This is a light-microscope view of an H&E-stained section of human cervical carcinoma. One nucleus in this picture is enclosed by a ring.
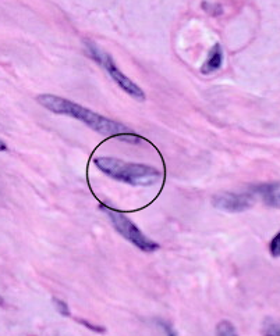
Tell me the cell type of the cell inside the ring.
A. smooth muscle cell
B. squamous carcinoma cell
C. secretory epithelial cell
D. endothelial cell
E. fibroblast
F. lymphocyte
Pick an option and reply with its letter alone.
E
